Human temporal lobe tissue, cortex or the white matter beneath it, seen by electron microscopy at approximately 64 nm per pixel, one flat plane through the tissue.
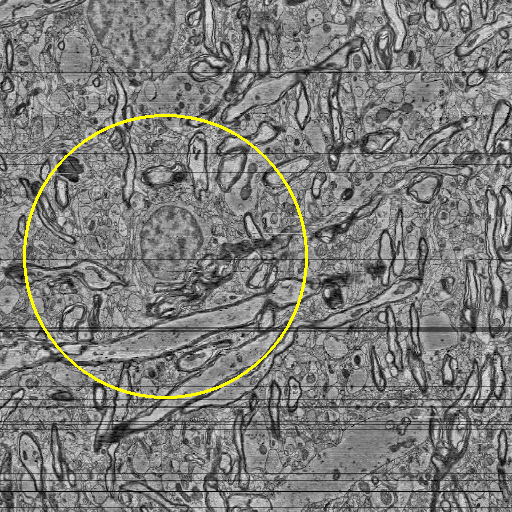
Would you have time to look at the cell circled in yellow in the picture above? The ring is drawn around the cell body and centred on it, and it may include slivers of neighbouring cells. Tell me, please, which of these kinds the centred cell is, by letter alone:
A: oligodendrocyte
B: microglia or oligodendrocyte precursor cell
A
